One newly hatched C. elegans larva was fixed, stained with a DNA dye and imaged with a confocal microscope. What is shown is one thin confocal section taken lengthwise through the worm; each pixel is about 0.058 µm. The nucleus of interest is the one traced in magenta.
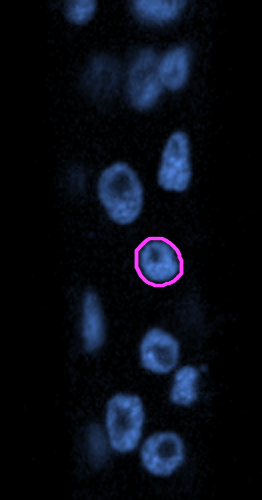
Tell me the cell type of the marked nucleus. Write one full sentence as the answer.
The marked nucleus belongs to a Q neuroblast.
